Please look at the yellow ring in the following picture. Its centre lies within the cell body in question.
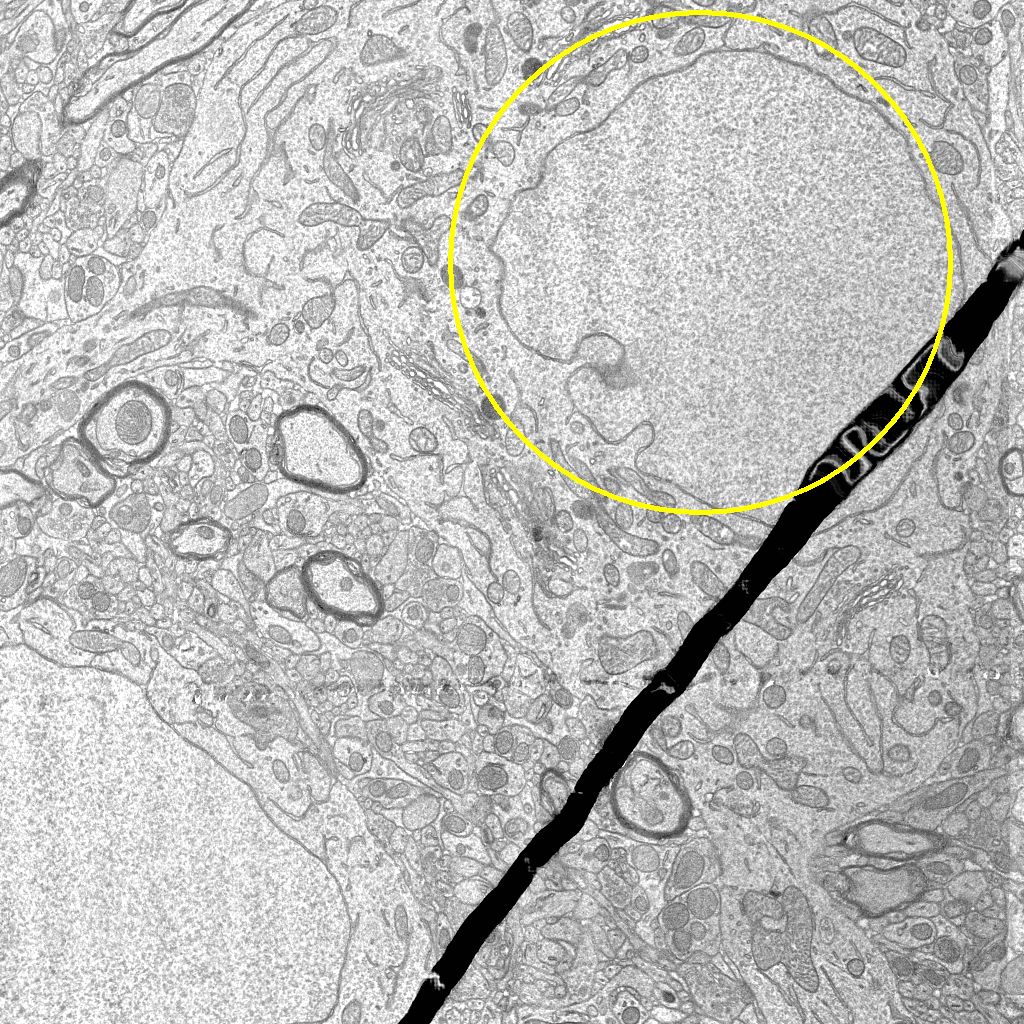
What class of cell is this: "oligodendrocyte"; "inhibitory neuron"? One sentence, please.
The centre of the ring lies in the cell body of an inhibitory neuron.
